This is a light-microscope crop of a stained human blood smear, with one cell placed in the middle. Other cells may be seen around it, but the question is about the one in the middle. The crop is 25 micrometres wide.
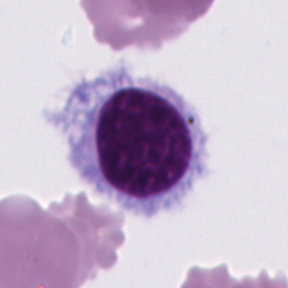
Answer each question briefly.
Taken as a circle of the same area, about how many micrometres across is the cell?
12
